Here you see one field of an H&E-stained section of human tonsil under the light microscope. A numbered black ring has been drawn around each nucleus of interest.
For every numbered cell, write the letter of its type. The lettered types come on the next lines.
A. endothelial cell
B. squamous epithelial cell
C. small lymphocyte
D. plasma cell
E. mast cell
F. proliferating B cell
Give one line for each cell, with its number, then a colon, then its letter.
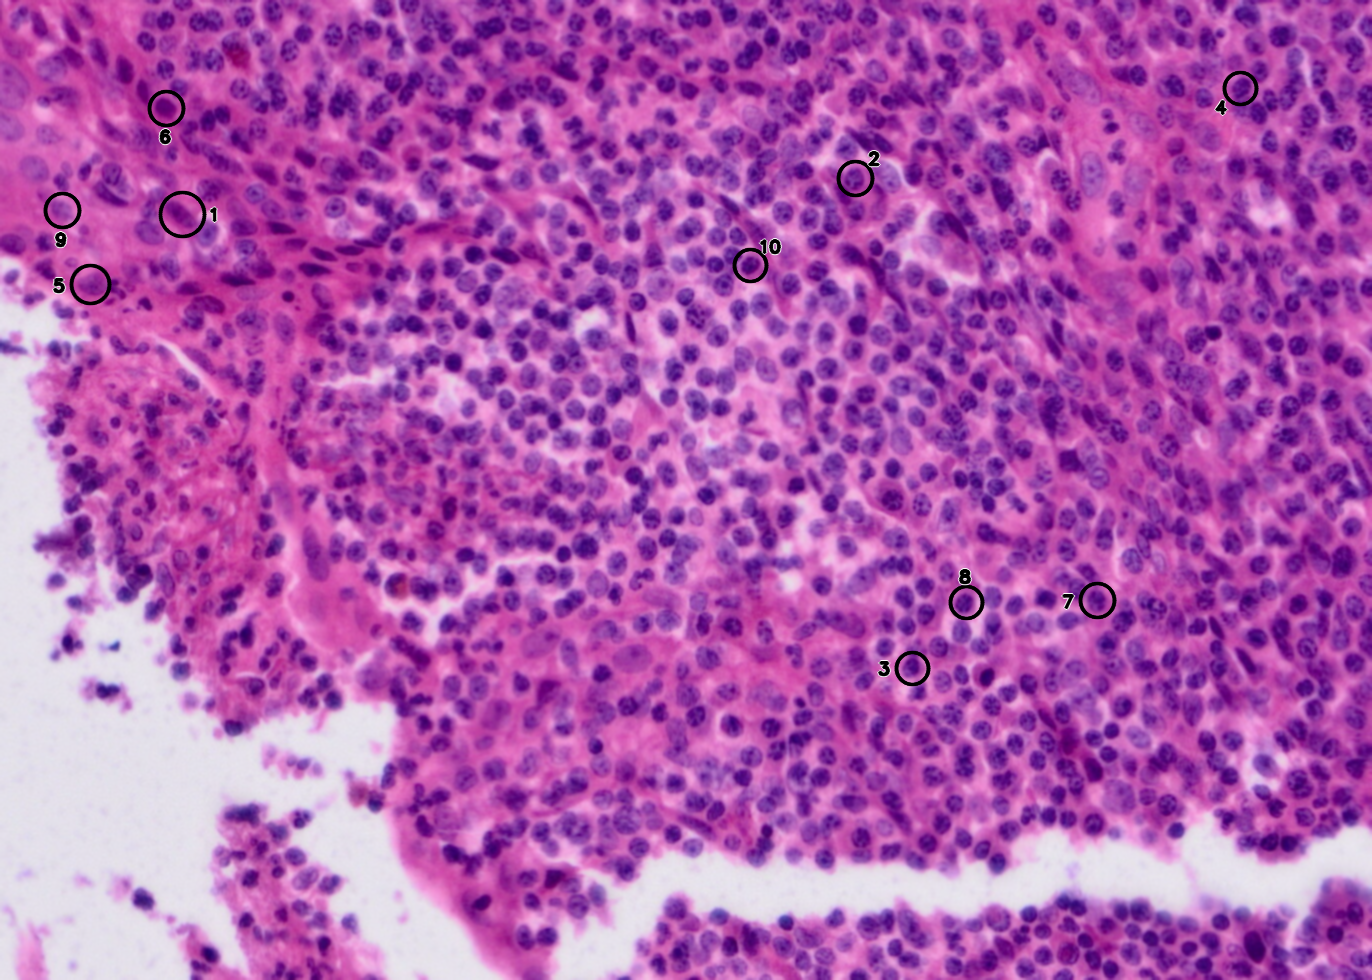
1: B
2: D
3: D
4: D
5: B
6: B
7: D
8: D
9: B
10: D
